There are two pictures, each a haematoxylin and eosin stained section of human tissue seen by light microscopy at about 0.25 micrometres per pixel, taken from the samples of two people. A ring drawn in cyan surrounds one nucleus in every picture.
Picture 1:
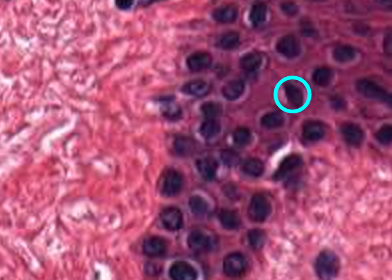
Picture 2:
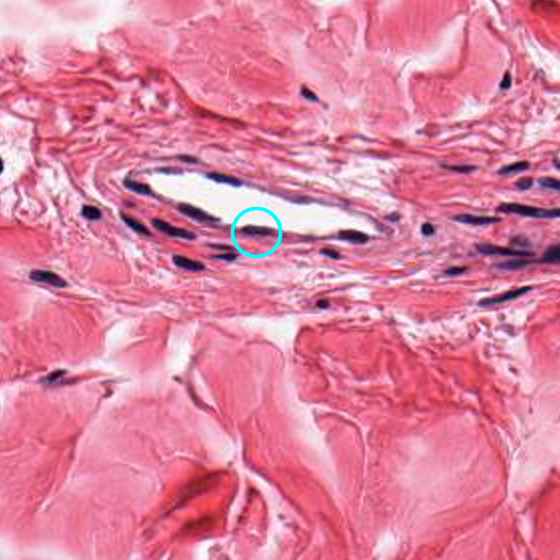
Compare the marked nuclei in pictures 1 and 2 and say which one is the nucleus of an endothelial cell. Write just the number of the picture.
2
